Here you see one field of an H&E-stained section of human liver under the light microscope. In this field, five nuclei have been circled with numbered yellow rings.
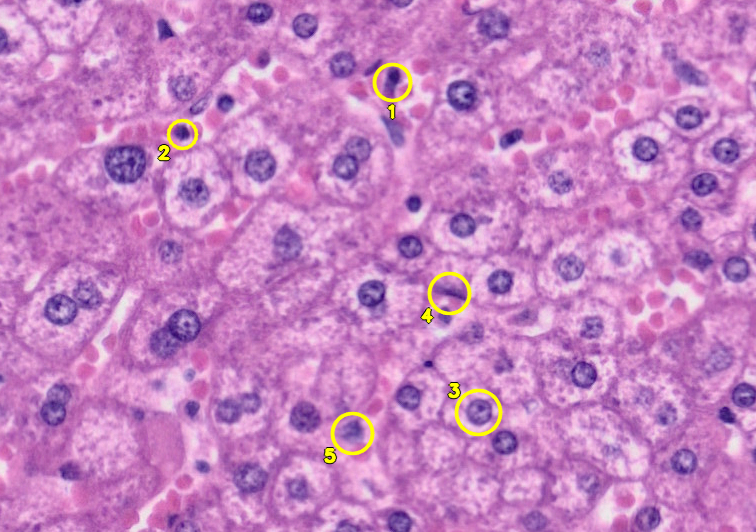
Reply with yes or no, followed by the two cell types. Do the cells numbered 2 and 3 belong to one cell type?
No, the right answer is a lymphocyte for cell 2 and a hepatocyte for cell 3.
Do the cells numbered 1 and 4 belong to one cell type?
No, cell 1 is a lymphocyte, and cell 4, on the other hand, is an endothelial cell.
